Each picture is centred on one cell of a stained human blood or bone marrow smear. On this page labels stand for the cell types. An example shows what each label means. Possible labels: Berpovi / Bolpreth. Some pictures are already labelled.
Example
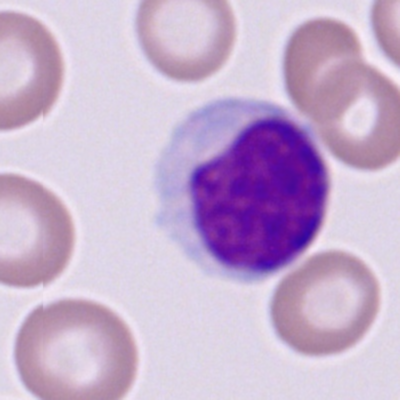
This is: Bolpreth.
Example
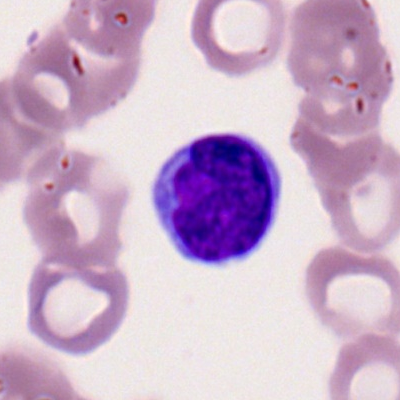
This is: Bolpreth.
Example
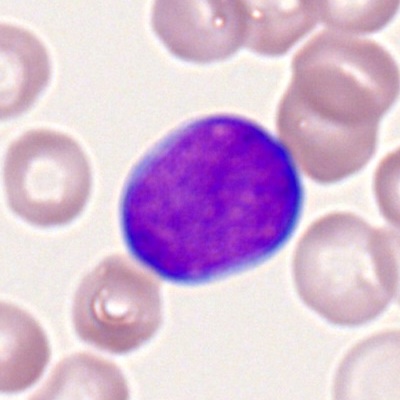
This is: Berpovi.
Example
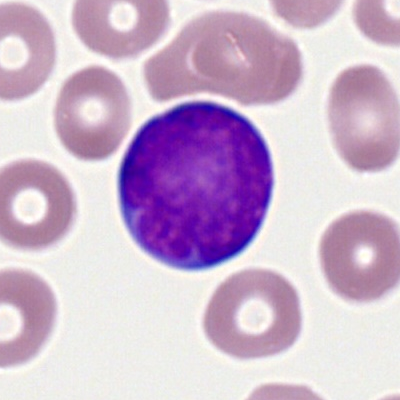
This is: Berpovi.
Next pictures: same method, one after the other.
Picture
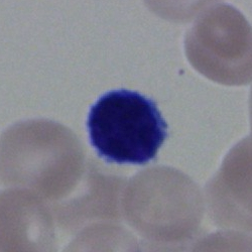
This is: Bolpreth.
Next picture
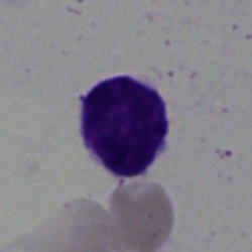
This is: Bolpreth.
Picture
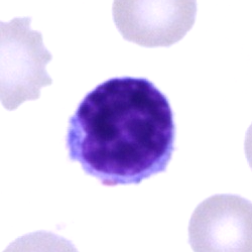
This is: Bolpreth.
